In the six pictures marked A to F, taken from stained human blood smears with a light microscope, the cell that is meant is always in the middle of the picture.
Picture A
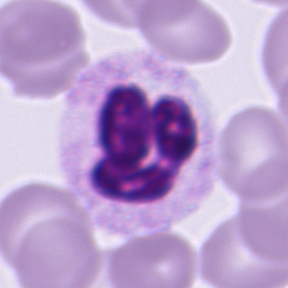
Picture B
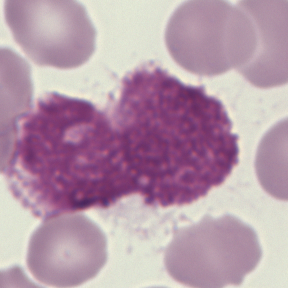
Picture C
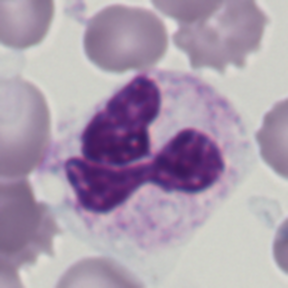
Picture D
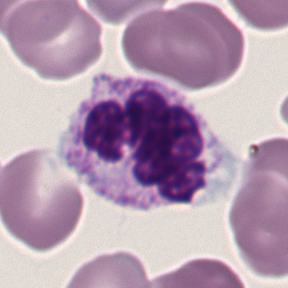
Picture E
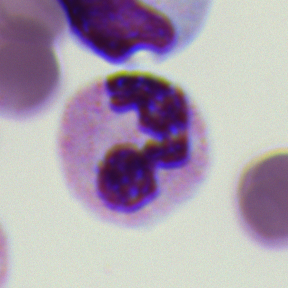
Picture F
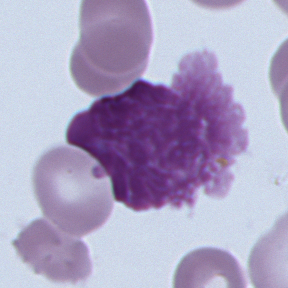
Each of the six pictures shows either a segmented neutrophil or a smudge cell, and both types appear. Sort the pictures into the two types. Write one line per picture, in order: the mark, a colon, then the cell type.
A: segmented neutrophil
B: smudge cell
C: segmented neutrophil
D: segmented neutrophil
E: segmented neutrophil
F: smudge cell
